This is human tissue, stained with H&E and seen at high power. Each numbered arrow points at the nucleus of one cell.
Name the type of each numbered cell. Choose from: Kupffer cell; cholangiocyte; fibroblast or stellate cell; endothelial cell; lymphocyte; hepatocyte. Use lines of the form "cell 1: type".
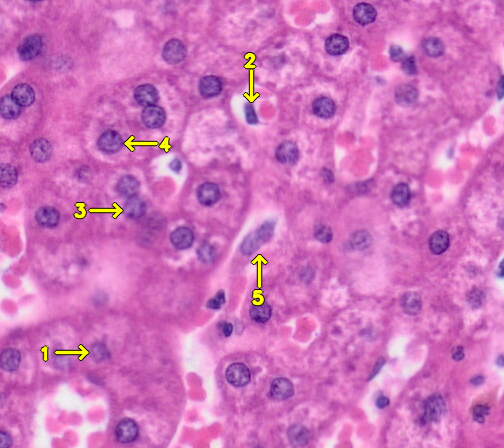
cell 1: hepatocyte
cell 2: lymphocyte
cell 3: hepatocyte
cell 4: hepatocyte
cell 5: Kupffer cell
